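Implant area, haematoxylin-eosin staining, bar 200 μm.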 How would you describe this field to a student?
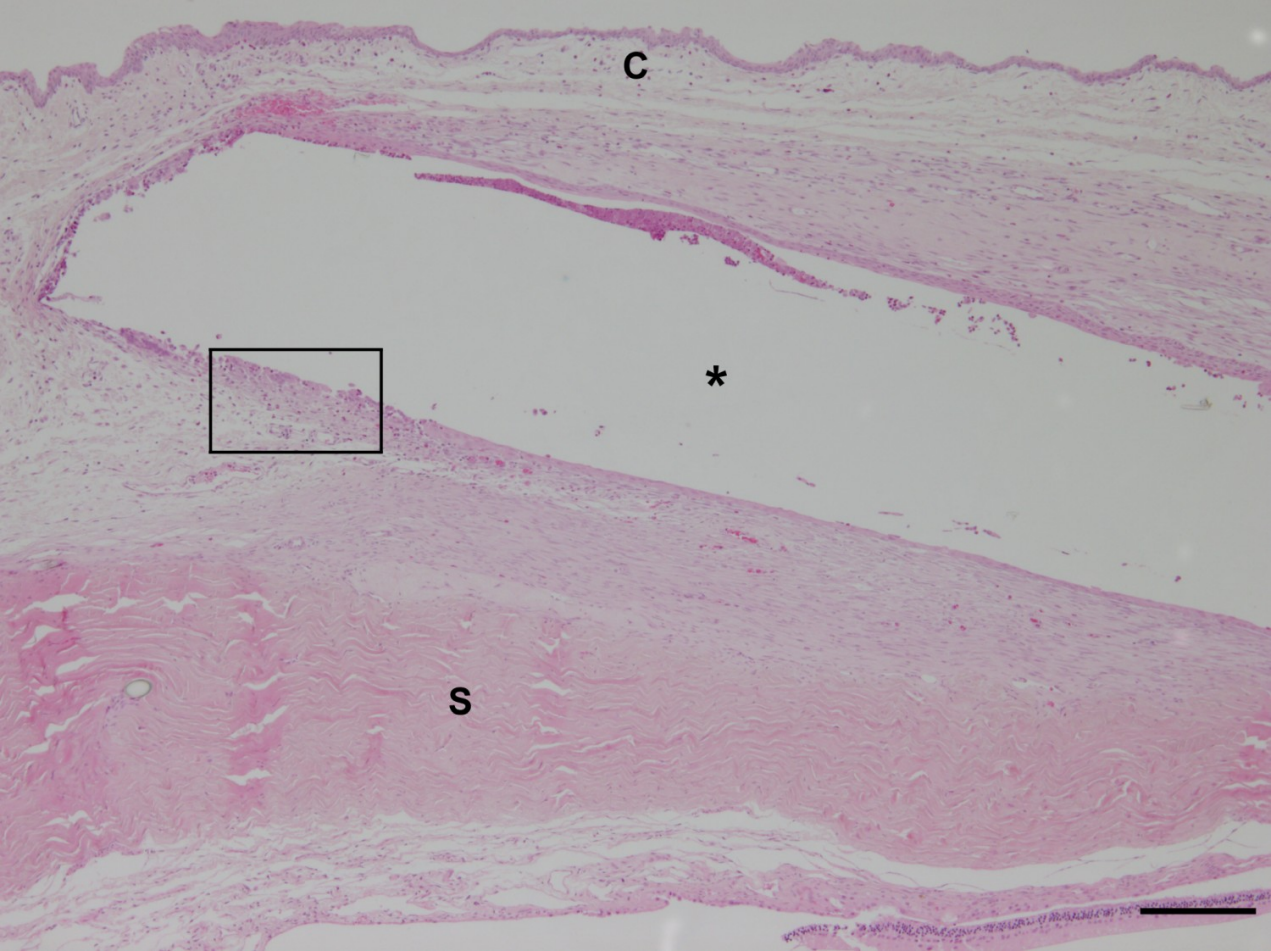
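A low-magnification section shows a large elongated empty cavity lying between a thick band of sclera below and the conjunctiva above. The sclera consists of dense, pink, wavy collagen bundles with few nuclei, while the conjunctiva has a thin stratified surface epithelium over loose, pale connective tissue. The walls of the cavity are lined by a layer of more cellular tissue with many small purple nuclei, and a detached strip of cellular tissue lies within the upper part of the space. A few scattered cells and red blood cells lie free in the cavity.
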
